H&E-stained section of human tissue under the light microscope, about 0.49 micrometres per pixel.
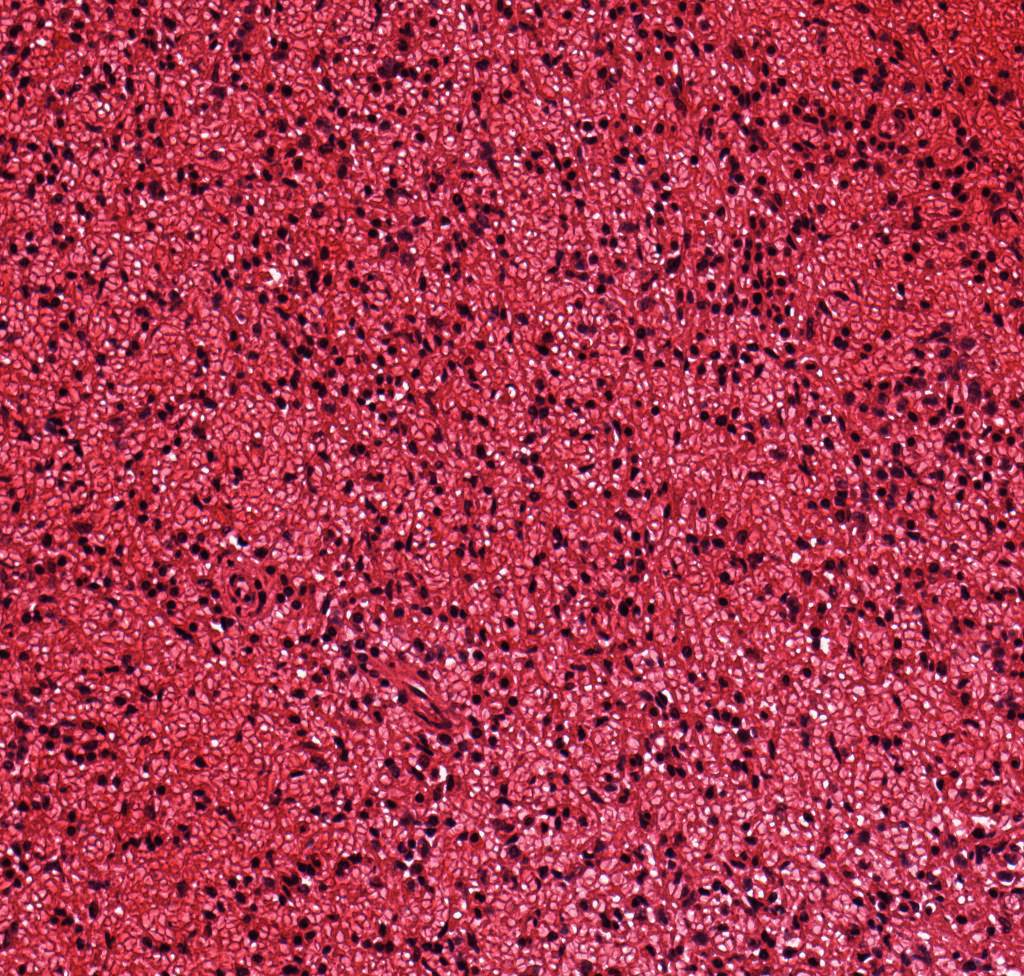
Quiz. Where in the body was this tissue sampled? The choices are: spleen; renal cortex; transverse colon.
spleen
